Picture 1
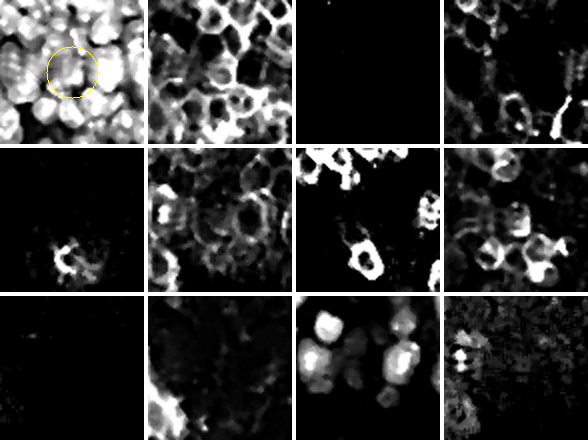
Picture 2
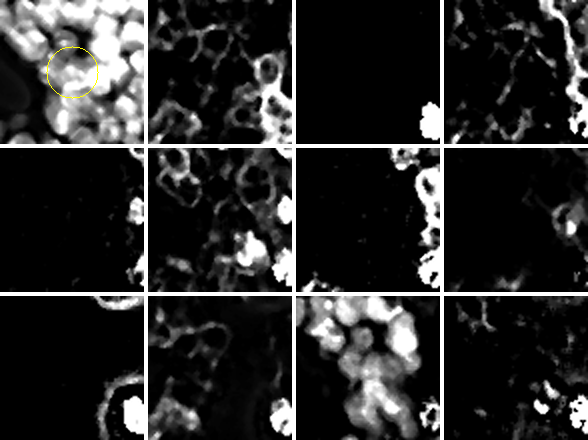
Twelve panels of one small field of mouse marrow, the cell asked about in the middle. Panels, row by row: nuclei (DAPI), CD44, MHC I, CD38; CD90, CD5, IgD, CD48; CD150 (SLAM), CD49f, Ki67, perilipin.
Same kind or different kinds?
Different: the first is a monocyte, the second an erythroblast.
